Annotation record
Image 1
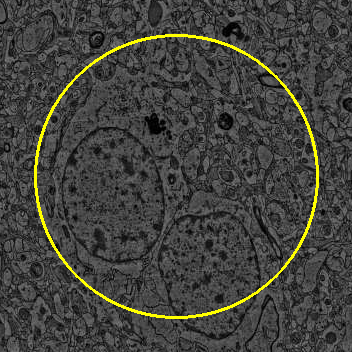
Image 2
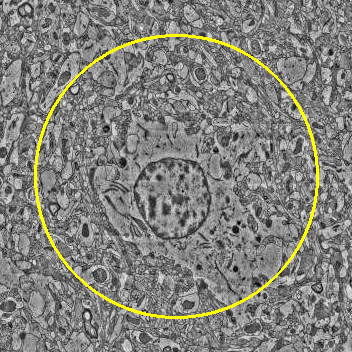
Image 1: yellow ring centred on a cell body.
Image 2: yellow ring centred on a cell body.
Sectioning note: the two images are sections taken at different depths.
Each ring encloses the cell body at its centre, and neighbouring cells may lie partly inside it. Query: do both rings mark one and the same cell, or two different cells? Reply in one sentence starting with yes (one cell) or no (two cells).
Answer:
No, the two yellow rings each circle a different cell.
